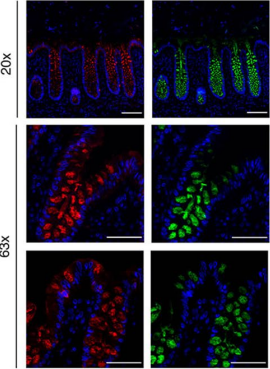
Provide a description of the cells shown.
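This is colonic mucosa with straight tubular crypts standing in parallel, seen at low and higher magnification. The nuclei are blue and lie in a row along the base of the epithelium lining each crypt. Many of the lining cells hold rounded cytoplasmic bodies that are filled with red signal in one image and with green signal in the next. The surrounding stroma between the crypts carries only blue nuclei.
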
